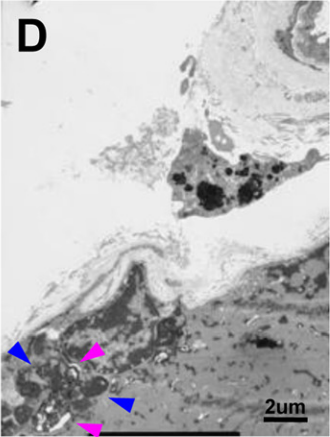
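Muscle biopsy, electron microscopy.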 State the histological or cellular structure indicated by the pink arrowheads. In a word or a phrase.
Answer: Autophagic vacuoles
